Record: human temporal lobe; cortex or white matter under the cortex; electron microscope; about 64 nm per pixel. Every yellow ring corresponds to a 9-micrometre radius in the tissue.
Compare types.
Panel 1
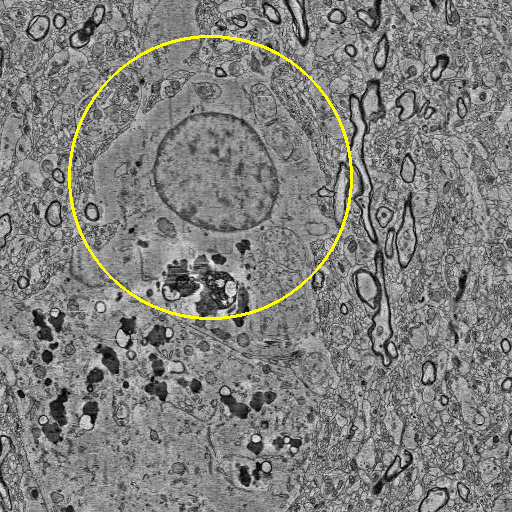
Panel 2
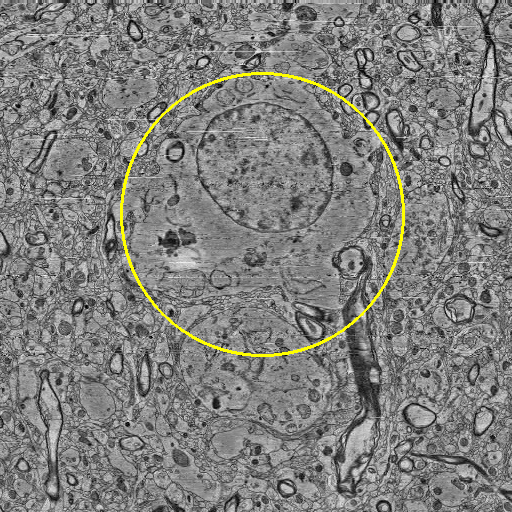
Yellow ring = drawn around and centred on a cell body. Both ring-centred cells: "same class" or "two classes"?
same class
